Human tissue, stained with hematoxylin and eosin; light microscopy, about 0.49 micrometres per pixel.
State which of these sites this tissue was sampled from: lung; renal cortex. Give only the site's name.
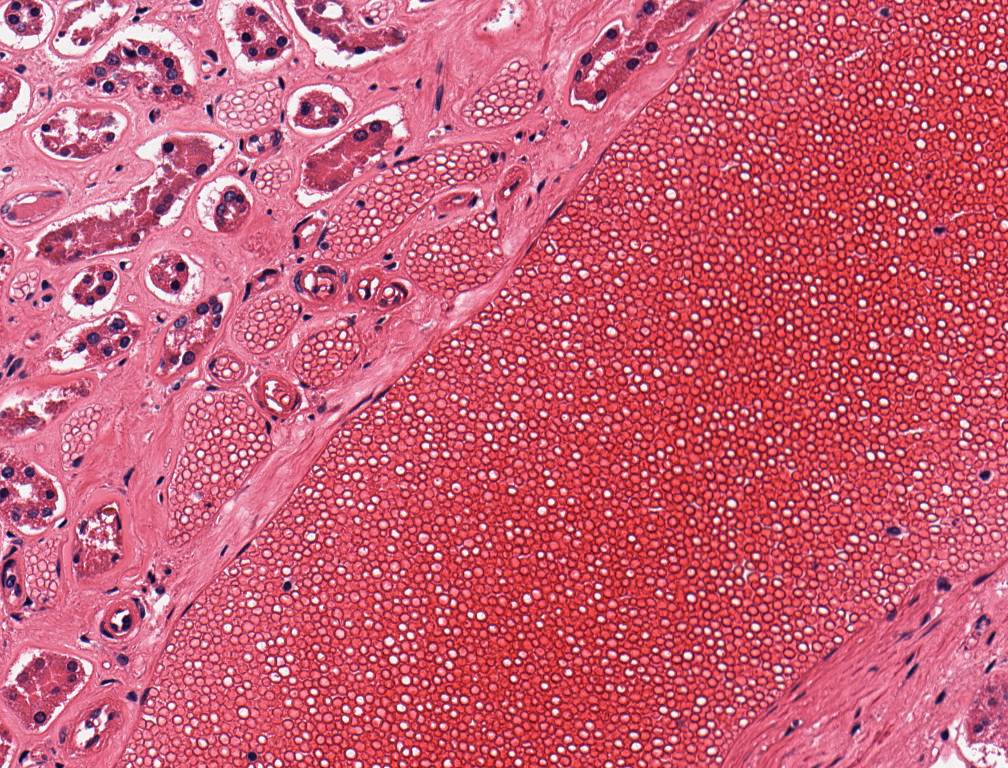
renal cortex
